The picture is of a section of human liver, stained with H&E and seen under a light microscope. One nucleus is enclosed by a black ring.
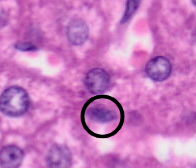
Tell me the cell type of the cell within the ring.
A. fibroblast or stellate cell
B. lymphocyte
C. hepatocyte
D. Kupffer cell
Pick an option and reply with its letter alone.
A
